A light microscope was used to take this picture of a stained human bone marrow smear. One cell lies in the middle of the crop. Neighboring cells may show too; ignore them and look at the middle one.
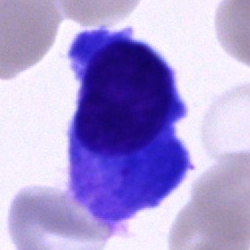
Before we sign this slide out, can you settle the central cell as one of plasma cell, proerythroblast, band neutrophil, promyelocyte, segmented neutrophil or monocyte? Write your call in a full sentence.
In short, the cell at the center is a plasma cell.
